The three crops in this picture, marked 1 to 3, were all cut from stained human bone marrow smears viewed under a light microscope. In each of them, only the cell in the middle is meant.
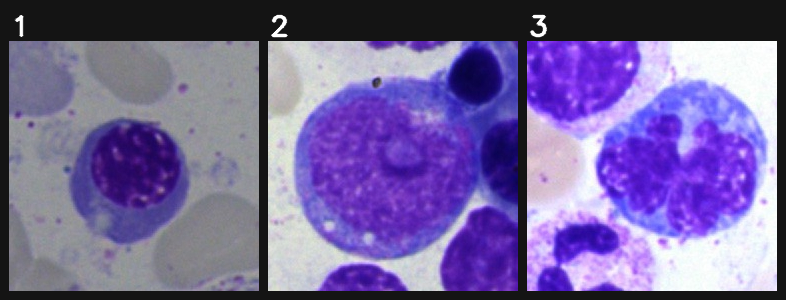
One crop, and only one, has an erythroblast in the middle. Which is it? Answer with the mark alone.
1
